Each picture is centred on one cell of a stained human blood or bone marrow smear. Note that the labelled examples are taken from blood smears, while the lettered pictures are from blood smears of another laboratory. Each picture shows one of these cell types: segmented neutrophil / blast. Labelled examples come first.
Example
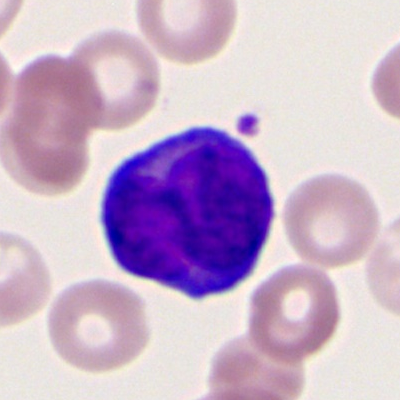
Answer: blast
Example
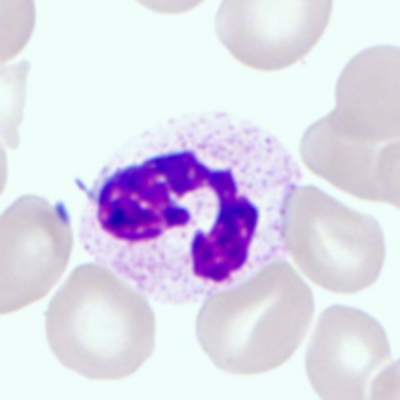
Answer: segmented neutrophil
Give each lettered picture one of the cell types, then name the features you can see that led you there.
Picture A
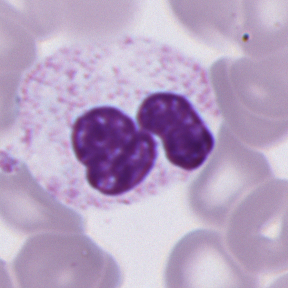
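segmented neutrophil: The nucleus has two main lobes lying side by side.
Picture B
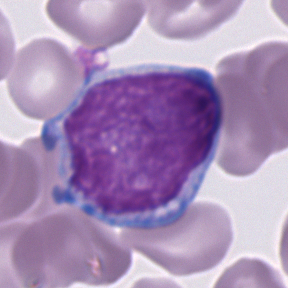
blast: The cytoplasm forms only a narrow rim around the nucleus.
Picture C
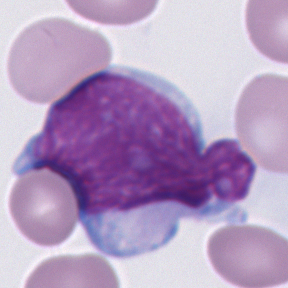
blast: The nucleus fills most of the cell.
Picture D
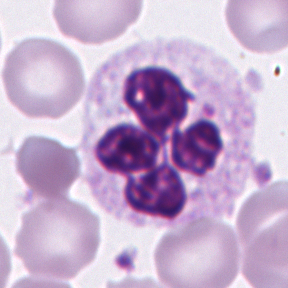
segmented neutrophil: The nucleus is divided into four separate lobes.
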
